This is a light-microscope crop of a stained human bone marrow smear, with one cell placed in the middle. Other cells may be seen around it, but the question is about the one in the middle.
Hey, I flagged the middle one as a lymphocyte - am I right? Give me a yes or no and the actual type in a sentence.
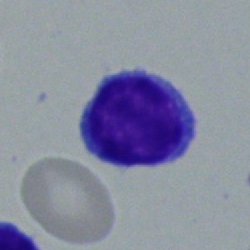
Yes, a lymphocyte occupies the middle of the crop.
